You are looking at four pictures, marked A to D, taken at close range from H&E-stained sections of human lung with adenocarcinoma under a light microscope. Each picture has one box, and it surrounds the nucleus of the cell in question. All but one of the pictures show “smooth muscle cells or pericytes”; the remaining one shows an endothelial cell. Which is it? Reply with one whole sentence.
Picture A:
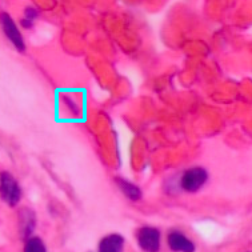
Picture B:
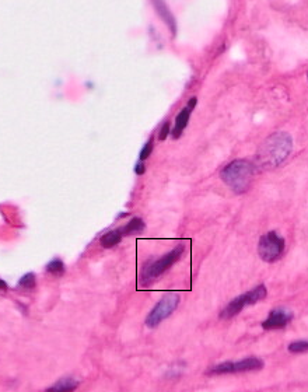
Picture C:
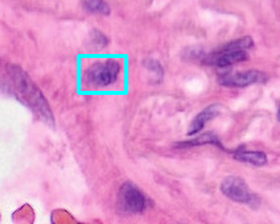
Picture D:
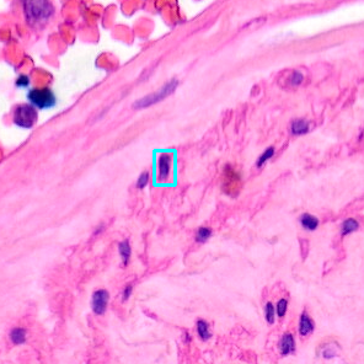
Picture A is the one that shows the endothelial cell.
